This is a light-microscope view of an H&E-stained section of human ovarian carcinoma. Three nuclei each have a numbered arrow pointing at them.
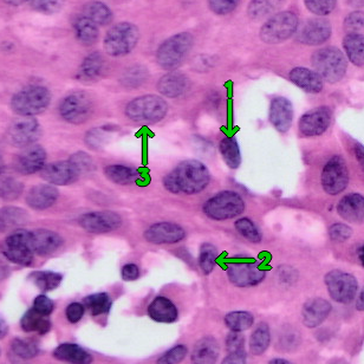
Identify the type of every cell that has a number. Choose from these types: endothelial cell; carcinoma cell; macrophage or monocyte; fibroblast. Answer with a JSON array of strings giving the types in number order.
["carcinoma cell", "macrophage or monocyte", "carcinoma cell"]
